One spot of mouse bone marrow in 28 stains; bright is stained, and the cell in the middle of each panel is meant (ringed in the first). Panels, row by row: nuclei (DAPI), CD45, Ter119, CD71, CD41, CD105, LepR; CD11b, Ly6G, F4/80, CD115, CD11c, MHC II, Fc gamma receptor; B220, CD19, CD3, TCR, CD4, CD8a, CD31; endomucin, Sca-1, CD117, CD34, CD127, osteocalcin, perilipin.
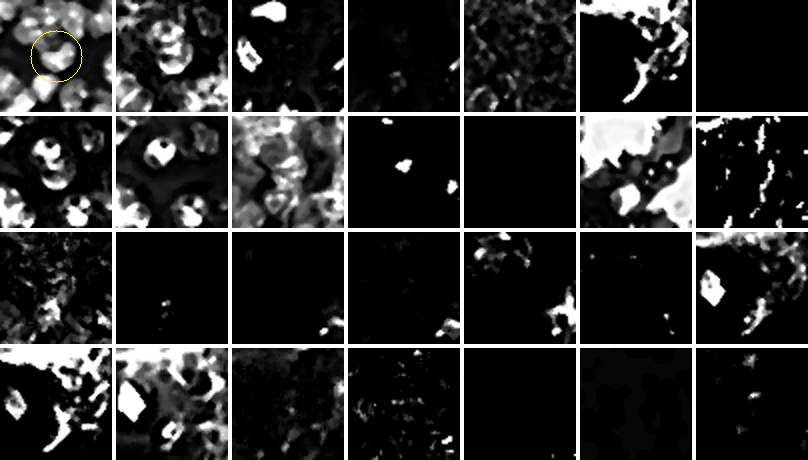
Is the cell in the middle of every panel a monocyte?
Yes, it is a monocyte.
